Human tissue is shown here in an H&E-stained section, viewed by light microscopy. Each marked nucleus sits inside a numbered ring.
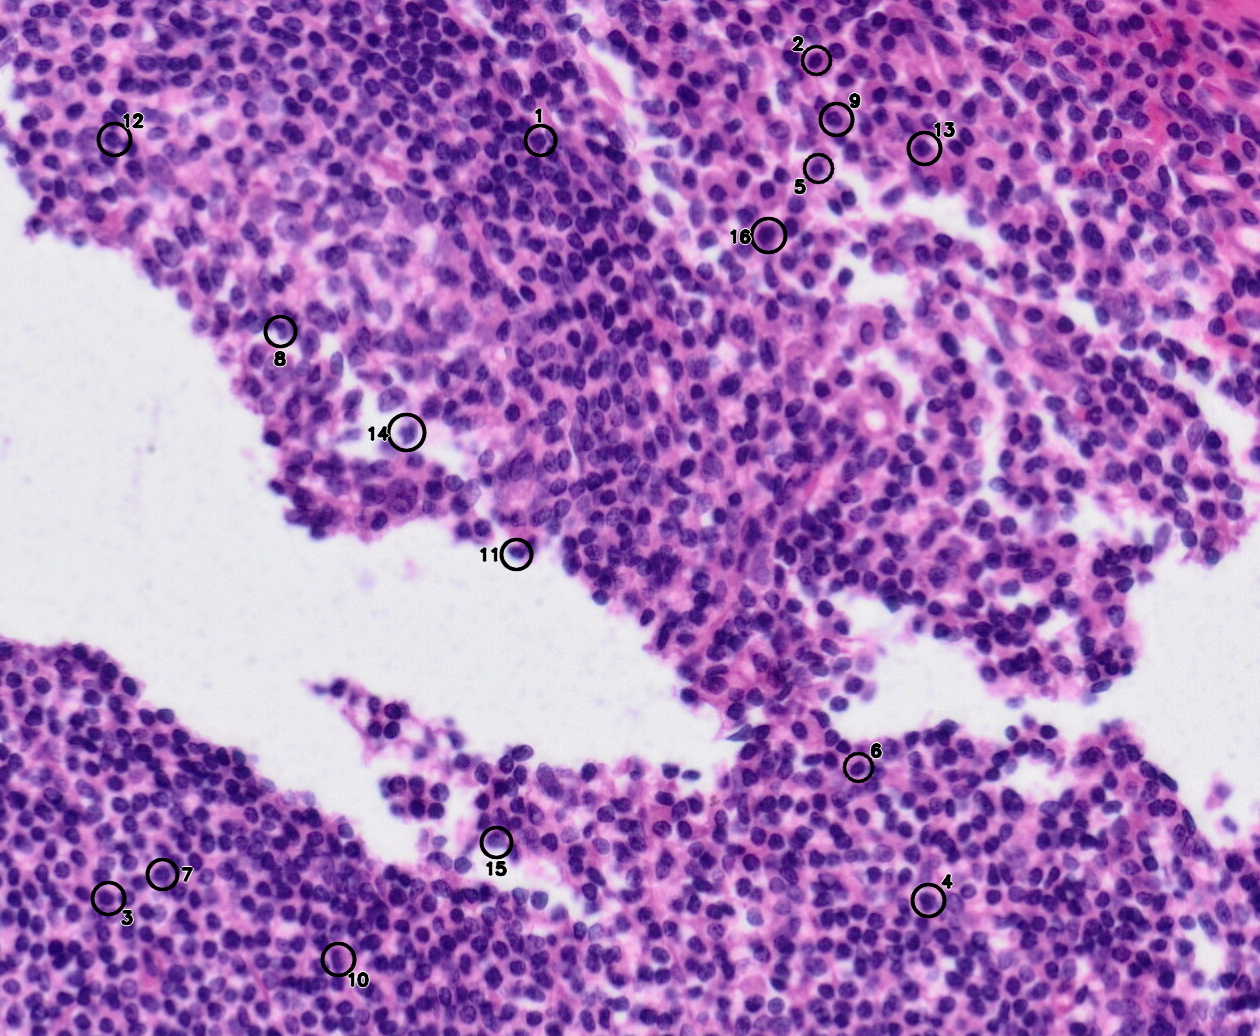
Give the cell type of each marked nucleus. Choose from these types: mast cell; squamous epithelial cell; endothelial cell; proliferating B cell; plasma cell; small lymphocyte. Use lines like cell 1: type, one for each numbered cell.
cell 1: small lymphocyte
cell 2: plasma cell
cell 3: small lymphocyte
cell 4: small lymphocyte
cell 5: plasma cell
cell 6: small lymphocyte
cell 7: small lymphocyte
cell 8: proliferating B cell
cell 9: plasma cell
cell 10: small lymphocyte
cell 11: small lymphocyte
cell 12: small lymphocyte
cell 13: plasma cell
cell 14: proliferating B cell
cell 15: small lymphocyte
cell 16: plasma cell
